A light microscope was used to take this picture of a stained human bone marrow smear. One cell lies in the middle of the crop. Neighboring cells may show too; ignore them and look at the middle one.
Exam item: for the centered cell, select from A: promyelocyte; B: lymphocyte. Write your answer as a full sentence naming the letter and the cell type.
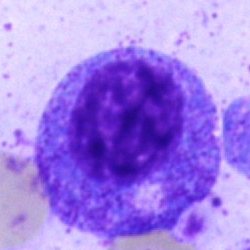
The cell in the center of this crop is a promyelocyte, so option A is the one to pick.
